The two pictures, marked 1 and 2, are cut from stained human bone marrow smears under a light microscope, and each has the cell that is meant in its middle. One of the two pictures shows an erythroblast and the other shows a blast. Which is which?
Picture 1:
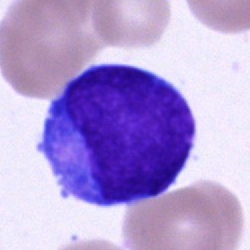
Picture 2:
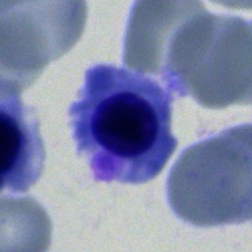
1: blast
2: erythroblast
